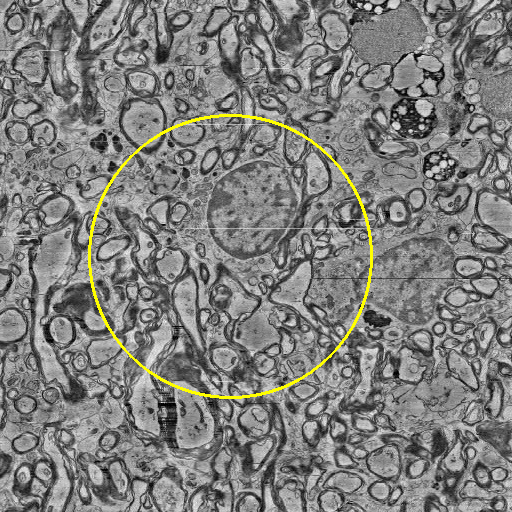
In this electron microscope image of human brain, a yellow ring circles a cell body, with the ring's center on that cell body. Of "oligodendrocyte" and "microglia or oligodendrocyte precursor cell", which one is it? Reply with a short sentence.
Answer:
It is a microglial cell or oligodendrocyte precursor cell at the center of the ring.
